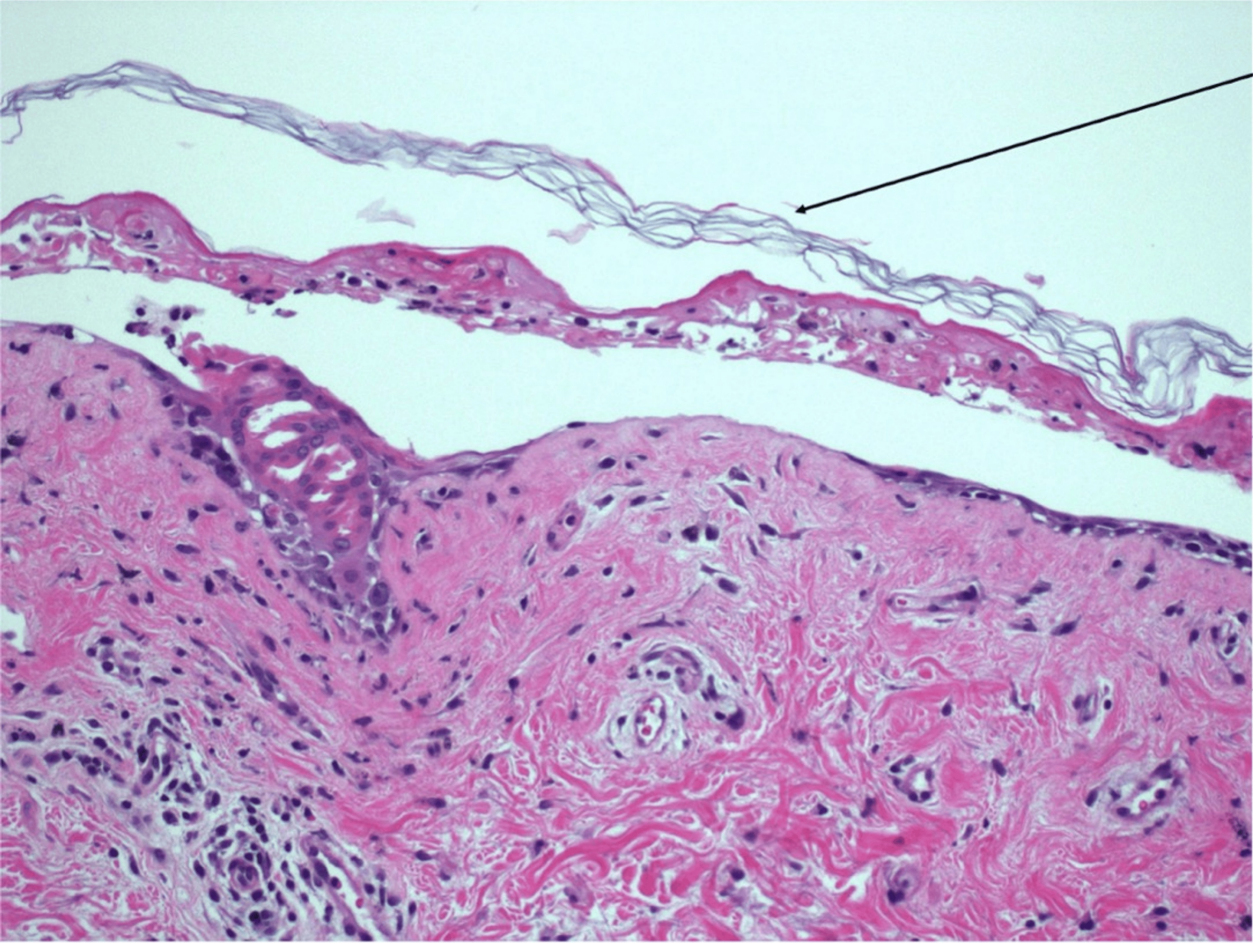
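Skin in which the epidermis is lifted off as a thin, pink strip with scattered small, dark, shrunken nuclei and no orderly layering, separated from the dermis by an empty cleft. Above it lies the detached stratum corneum as loose, wavy, pale purple lamellae in a basket-weave pattern. Below the cleft the dermis shows pink collagen bundles with small blood vessels and scattered cells, and a denser cluster of cells at the lower left.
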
